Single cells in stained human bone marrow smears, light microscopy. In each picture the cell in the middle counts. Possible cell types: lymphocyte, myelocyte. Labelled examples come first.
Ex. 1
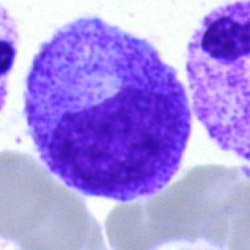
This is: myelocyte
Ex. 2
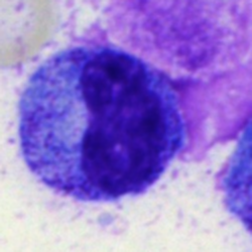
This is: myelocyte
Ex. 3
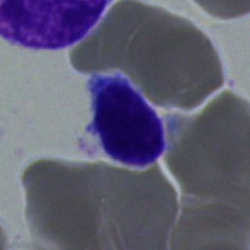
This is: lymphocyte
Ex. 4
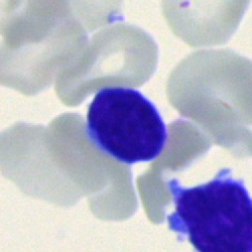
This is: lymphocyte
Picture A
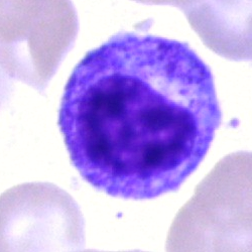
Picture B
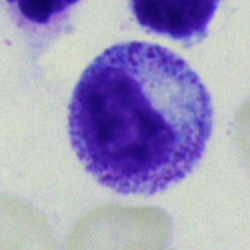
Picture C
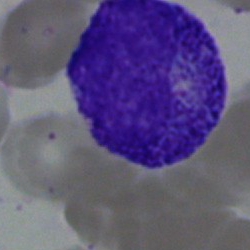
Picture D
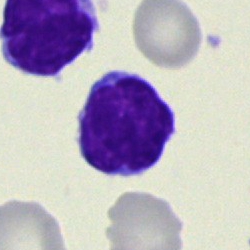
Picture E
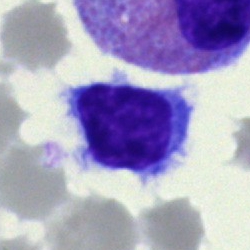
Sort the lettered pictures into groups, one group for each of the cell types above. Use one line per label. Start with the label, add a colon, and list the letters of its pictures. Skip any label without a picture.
lymphocyte: D, E
myelocyte: A, B, C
